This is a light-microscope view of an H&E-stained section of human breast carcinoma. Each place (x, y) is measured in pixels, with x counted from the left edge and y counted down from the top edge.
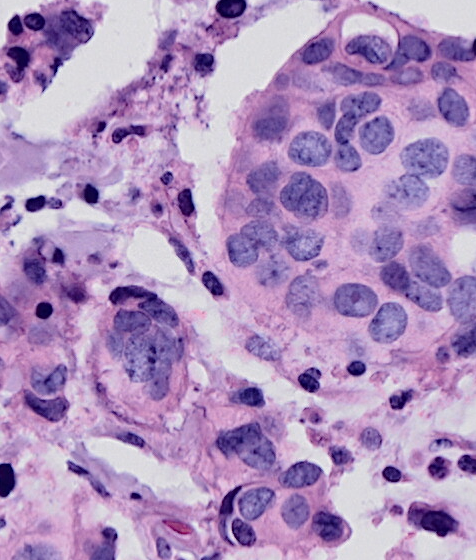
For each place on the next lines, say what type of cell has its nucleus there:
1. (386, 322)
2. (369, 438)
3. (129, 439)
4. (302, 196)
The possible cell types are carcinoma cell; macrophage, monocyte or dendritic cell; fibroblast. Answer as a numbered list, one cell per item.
1. carcinoma cell
2. macrophage, monocyte or dendritic cell
3. fibroblast
4. carcinoma cell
